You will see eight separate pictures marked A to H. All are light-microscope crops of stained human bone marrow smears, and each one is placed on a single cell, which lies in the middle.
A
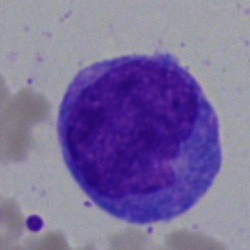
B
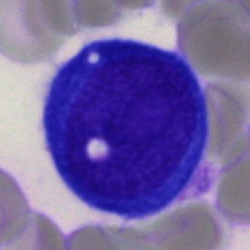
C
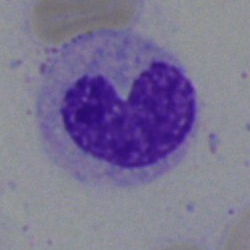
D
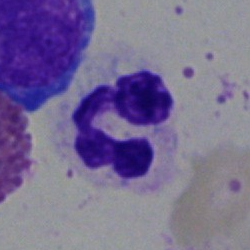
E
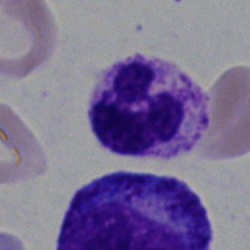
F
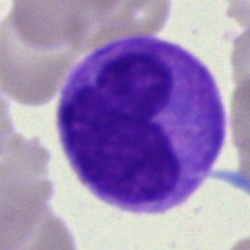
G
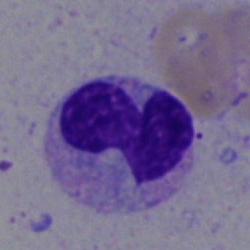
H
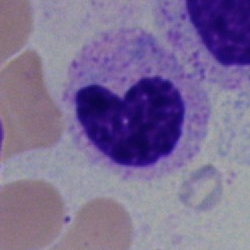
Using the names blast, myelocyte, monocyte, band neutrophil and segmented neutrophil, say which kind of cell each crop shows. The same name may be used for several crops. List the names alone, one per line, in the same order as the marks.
monocyte
blast
band neutrophil
segmented neutrophil
segmented neutrophil
monocyte
band neutrophil
band neutrophil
